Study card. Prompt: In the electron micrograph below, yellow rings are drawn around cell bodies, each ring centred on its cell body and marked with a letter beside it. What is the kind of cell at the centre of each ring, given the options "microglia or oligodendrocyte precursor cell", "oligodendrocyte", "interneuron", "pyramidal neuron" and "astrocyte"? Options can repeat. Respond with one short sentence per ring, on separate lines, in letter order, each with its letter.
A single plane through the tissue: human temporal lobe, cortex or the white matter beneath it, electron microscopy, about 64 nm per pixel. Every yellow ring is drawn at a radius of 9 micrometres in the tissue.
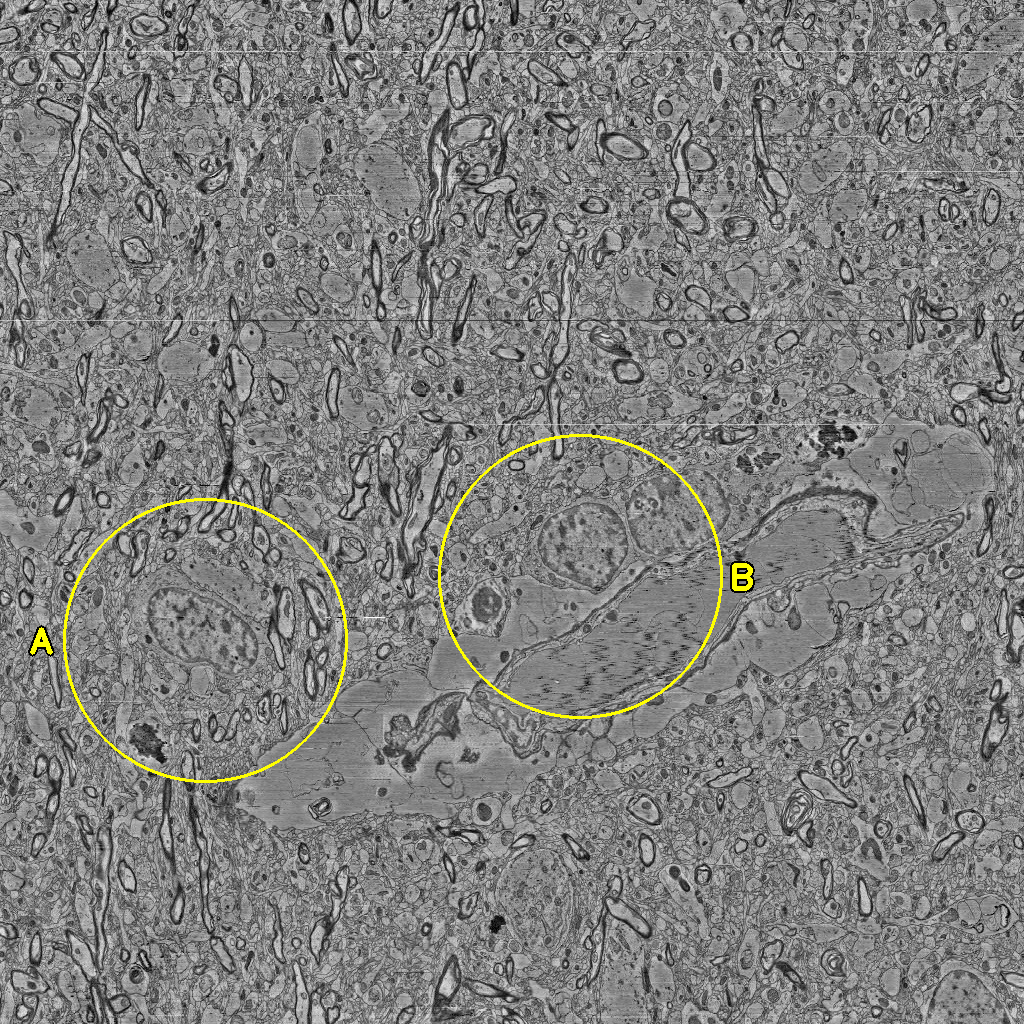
Ring A outlines an oligodendrocyte.
Ring B outlines an oligodendrocyte.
